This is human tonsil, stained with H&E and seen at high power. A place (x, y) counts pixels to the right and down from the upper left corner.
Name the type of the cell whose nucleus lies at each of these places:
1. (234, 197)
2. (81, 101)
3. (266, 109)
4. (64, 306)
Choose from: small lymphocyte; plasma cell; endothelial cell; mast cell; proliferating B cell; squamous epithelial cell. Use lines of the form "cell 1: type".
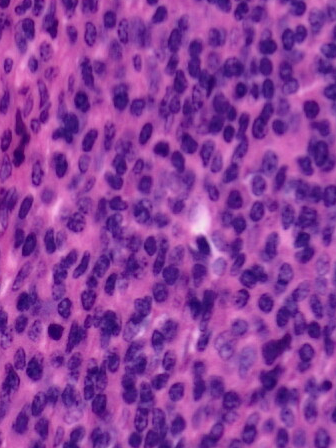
cell 1: plasma cell
cell 2: plasma cell
cell 3: small lymphocyte
cell 4: plasma cell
